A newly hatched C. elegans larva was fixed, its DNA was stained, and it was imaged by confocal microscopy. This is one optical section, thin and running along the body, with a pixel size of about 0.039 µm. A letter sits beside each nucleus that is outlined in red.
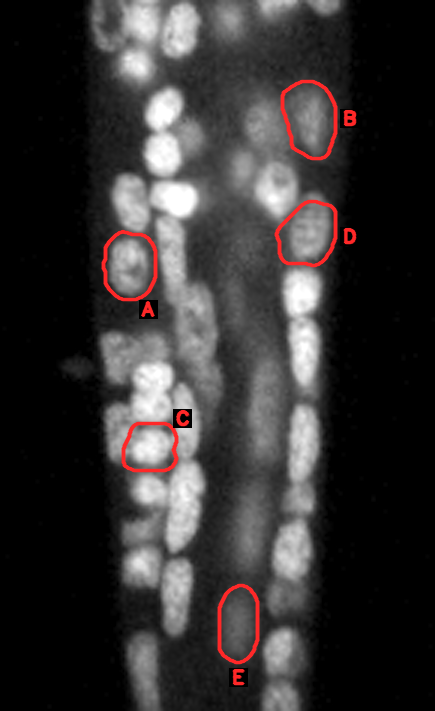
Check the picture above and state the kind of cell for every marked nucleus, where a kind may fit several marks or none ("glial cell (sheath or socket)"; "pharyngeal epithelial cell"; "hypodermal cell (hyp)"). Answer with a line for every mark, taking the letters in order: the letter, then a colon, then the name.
A: hypodermal cell (hyp)
B: hypodermal cell (hyp)
C: glial cell (sheath or socket)
D: hypodermal cell (hyp)
E: pharyngeal epithelial cell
